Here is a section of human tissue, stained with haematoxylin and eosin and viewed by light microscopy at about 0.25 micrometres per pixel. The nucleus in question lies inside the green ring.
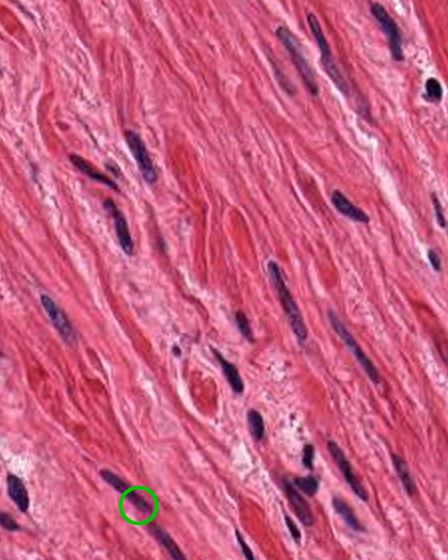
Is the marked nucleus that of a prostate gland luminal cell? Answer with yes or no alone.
no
